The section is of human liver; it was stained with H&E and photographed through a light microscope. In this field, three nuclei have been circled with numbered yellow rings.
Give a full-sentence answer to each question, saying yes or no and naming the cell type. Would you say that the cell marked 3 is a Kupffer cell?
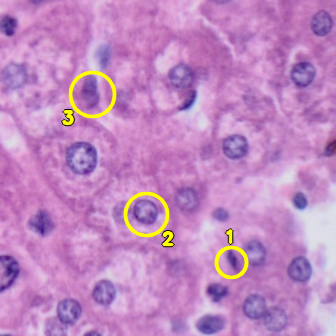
Yes, the one with the number 3 is a Kupffer cell.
